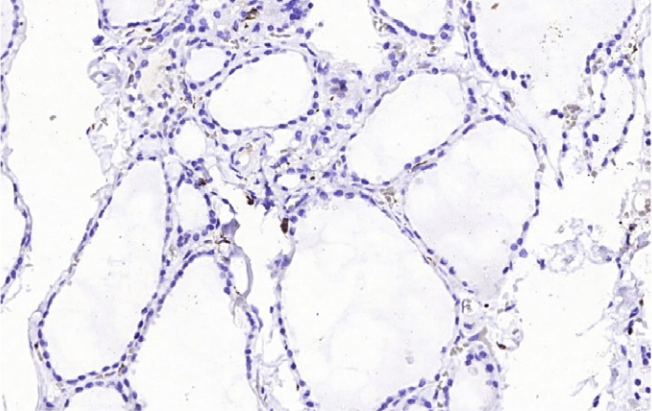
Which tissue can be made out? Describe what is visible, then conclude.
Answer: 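Intact thyroid tissue. Round follicles of varying size are filled with pale homogeneous material. Each follicle is lined by a single layer of flat to cuboidal cells with small dark nuclei. Thin stroma lies between the follicles.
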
